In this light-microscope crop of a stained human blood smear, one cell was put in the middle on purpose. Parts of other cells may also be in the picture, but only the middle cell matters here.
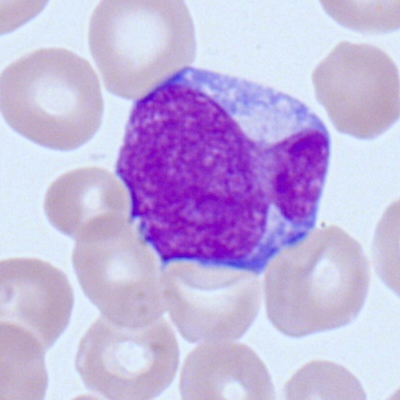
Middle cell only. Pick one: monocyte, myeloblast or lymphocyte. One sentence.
Answering briefly, the cell in the middle is a myeloblast.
